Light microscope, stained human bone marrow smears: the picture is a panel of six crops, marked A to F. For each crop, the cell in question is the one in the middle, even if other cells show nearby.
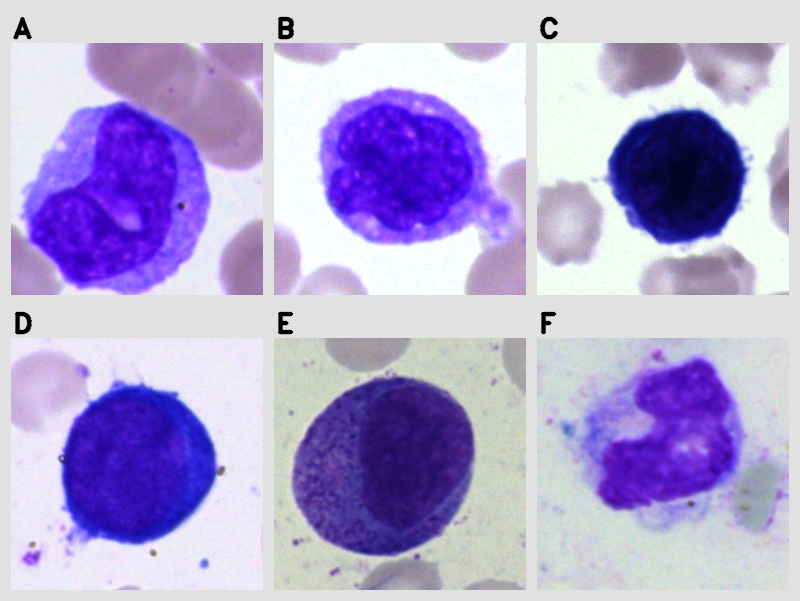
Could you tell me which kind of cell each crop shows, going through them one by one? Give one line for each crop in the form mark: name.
A: monocyte
B: monocyte
C: proerythroblast
D: proerythroblast
E: promyelocyte
F: monocyte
